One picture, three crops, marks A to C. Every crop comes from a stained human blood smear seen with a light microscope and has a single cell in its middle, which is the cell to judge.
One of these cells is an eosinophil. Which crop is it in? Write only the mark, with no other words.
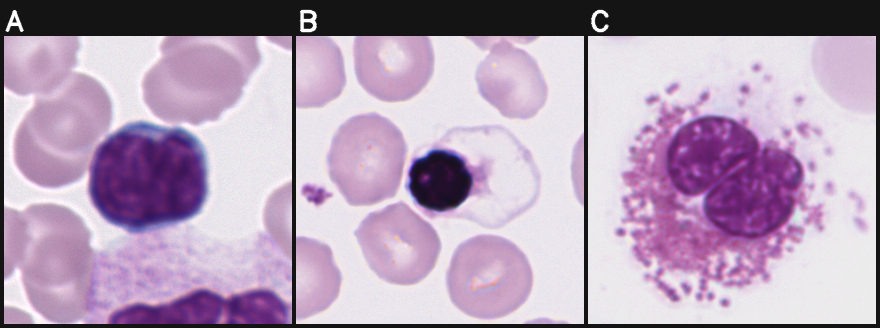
C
